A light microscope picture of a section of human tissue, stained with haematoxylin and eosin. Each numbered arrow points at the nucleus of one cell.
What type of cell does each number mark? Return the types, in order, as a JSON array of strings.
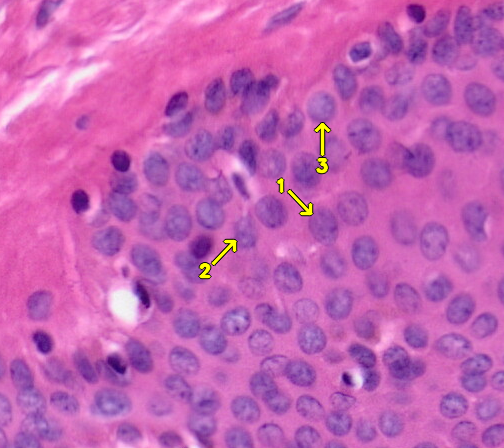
["suprabasal keratinocyte", "suprabasal keratinocyte", "basal keratinocyte"]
